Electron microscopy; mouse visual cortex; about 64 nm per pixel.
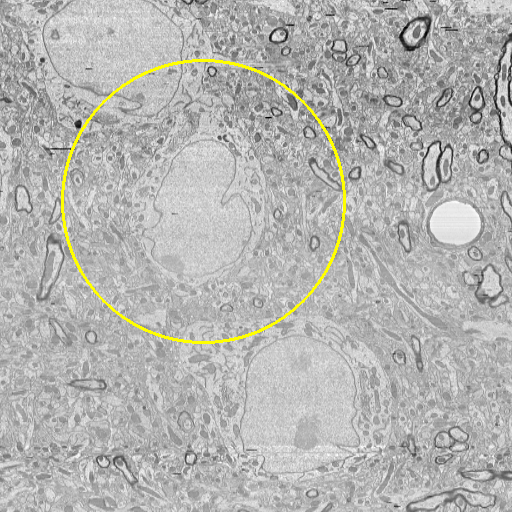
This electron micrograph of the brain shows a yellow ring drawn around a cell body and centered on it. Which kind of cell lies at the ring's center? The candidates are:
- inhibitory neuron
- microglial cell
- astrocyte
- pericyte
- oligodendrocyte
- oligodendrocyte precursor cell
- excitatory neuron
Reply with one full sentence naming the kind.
The cell lying at the ring's center in this micrograph is an excitatory neuron.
